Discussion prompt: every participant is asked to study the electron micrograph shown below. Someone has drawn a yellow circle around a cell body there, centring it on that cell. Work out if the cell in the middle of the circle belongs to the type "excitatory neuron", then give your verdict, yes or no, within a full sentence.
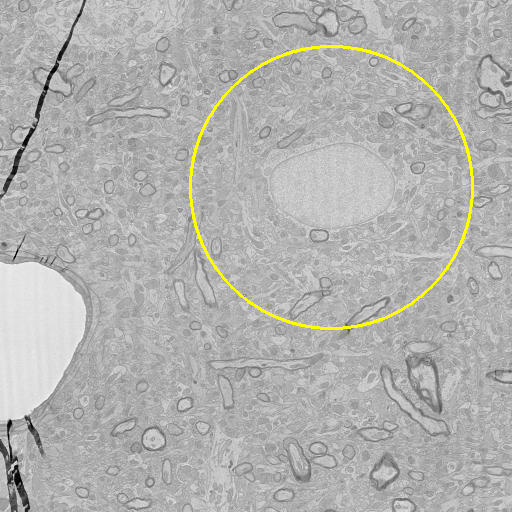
No, my verdict is that the cell in the circle's centre is of a different type.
